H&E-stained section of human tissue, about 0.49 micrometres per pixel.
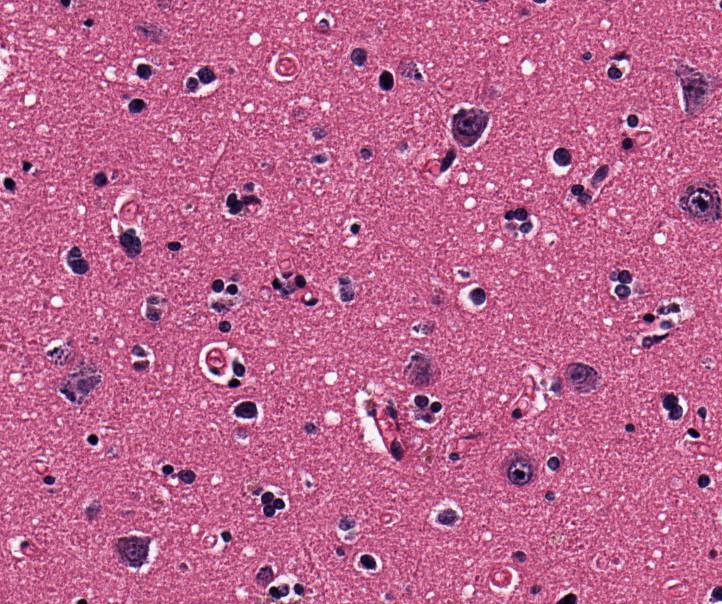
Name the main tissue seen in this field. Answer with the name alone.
cerebral cortex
